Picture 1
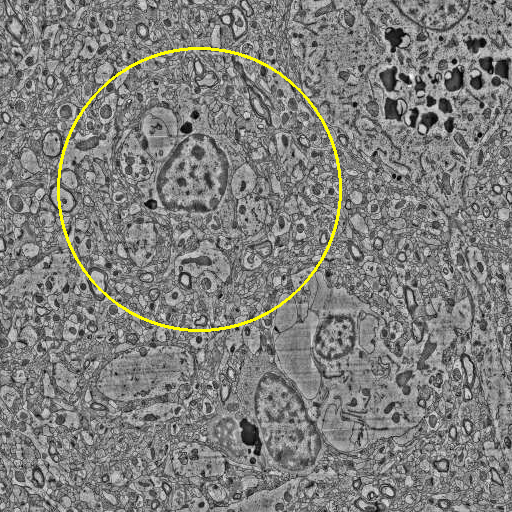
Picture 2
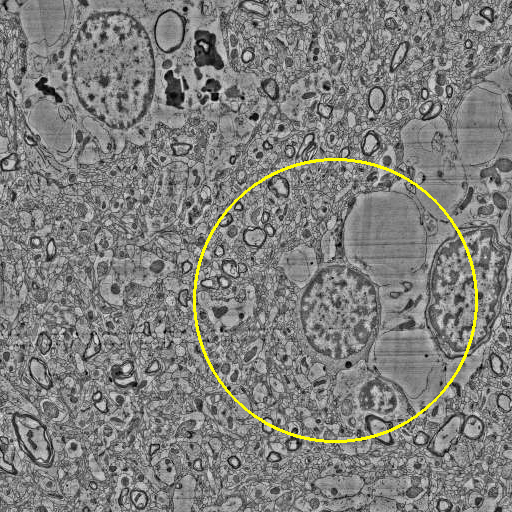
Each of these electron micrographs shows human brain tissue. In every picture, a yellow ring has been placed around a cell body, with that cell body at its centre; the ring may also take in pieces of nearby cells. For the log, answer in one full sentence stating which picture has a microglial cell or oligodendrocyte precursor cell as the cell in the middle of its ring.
In picture 1, the cell at the centre of the yellow ring is the requested one.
